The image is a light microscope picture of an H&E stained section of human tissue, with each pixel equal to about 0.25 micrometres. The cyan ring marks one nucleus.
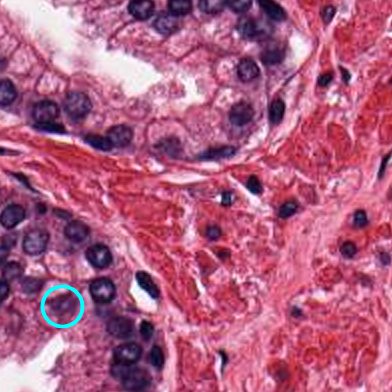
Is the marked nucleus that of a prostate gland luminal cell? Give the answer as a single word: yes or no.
yes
